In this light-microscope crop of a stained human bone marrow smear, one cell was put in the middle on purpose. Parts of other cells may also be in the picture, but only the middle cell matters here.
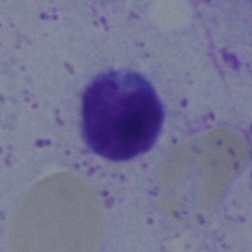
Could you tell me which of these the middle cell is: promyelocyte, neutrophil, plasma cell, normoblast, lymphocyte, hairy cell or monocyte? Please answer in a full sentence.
Here the cell in the middle is a lymphocyte.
